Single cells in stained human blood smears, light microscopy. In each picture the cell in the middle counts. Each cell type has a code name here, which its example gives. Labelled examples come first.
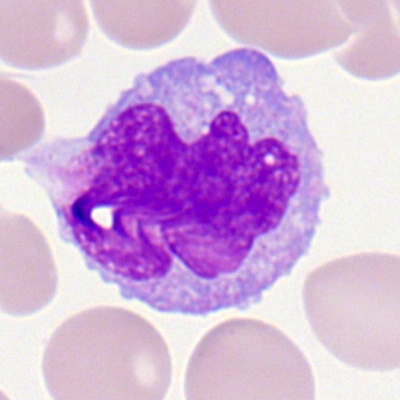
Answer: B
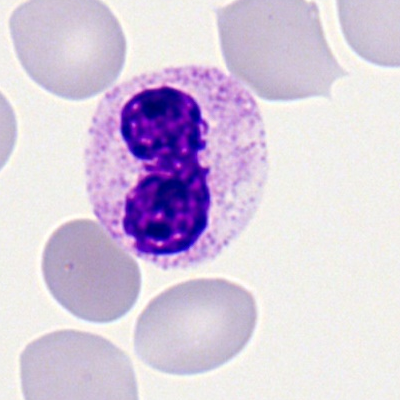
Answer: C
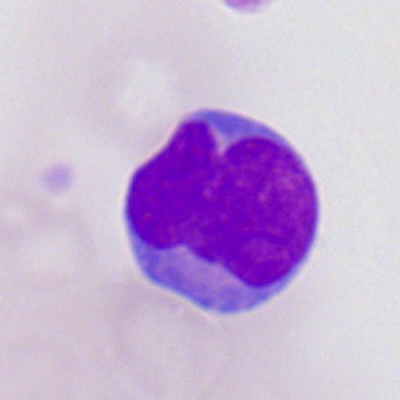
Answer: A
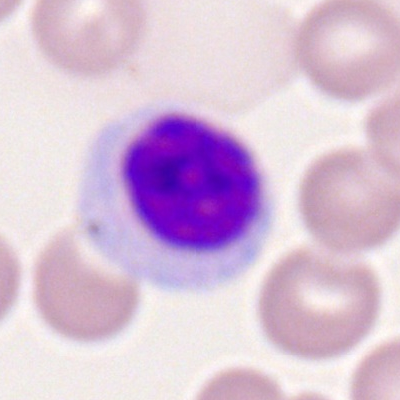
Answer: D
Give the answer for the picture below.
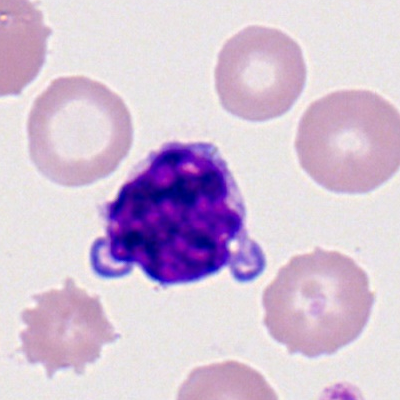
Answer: D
